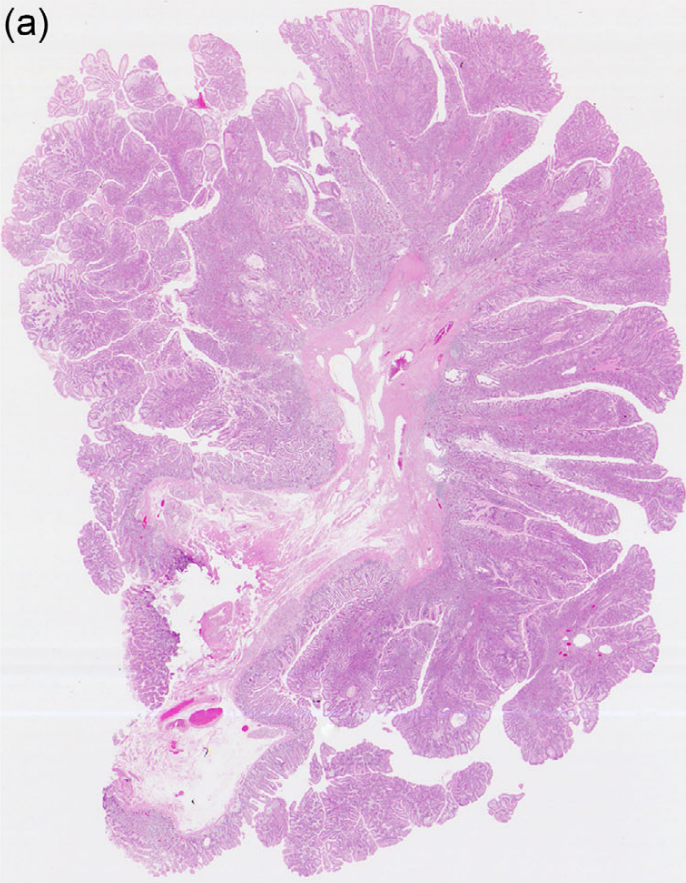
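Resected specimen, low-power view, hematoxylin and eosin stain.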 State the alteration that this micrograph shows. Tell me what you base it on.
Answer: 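Cauliflower‐like polypoid lesion. Many rounded lobes of glandular mucosa radiate outward from a central core. The outline of the whole specimen is lobulated and frond-like.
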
